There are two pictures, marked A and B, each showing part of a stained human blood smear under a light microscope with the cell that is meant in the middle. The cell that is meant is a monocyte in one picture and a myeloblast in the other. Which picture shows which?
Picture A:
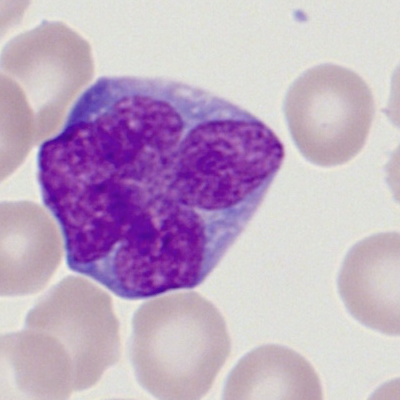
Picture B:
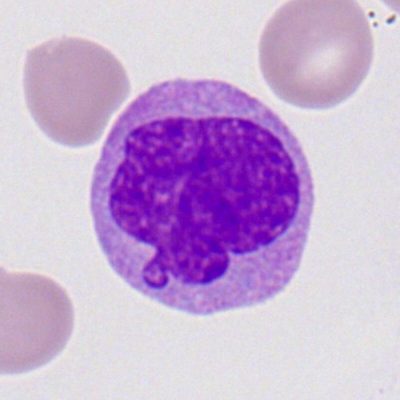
A: myeloblast
B: monocyte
